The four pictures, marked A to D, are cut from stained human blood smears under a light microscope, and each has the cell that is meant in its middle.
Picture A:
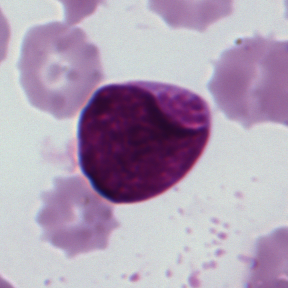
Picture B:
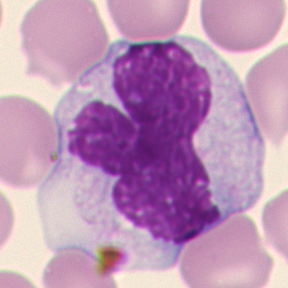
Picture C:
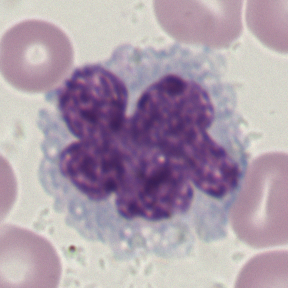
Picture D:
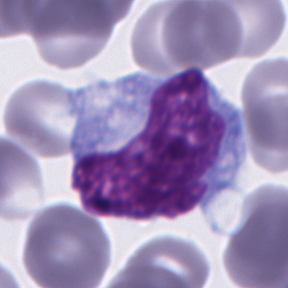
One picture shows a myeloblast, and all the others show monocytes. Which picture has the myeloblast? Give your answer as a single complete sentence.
The picture with the myeloblast is A.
